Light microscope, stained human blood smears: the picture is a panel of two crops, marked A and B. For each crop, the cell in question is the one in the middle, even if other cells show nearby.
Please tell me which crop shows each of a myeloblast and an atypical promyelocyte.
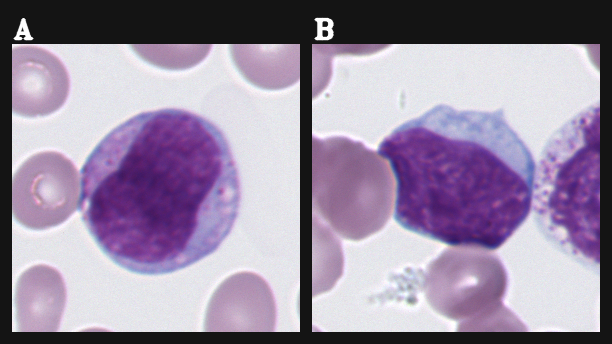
A: atypical promyelocyte
B: myeloblast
